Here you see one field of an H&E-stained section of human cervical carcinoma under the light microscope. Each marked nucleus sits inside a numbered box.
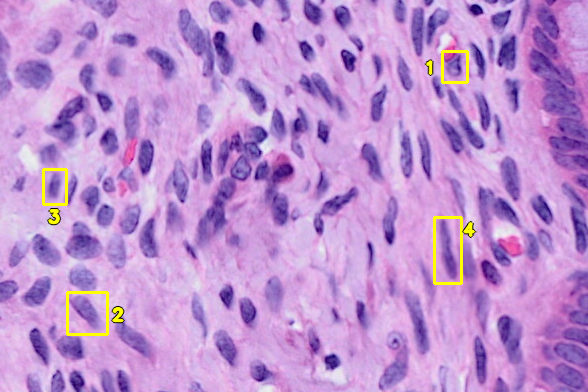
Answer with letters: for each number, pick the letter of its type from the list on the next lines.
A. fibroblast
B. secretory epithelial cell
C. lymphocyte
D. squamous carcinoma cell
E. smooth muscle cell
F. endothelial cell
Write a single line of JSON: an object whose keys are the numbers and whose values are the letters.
{"1": "F", "2": "A", "3": "A", "4": "A"}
